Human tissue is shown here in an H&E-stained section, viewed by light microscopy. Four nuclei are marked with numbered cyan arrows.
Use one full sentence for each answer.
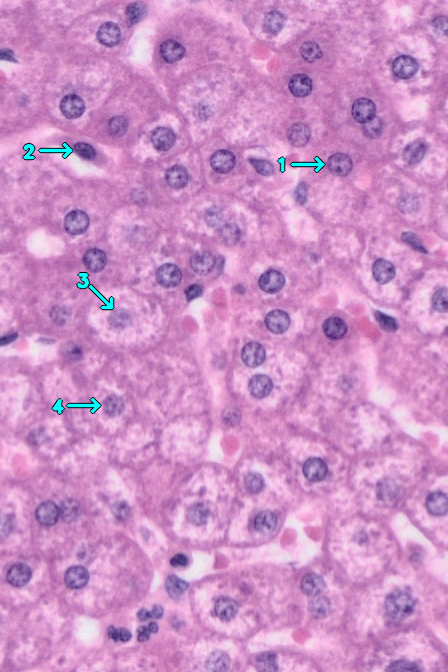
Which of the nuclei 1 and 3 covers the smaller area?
Nucleus 3 is the smaller one; nucleus 1 covers about 1.5 times its area.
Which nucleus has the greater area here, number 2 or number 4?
Nucleus 4 is the larger one, covering about 1.5 times the area of nucleus 2.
